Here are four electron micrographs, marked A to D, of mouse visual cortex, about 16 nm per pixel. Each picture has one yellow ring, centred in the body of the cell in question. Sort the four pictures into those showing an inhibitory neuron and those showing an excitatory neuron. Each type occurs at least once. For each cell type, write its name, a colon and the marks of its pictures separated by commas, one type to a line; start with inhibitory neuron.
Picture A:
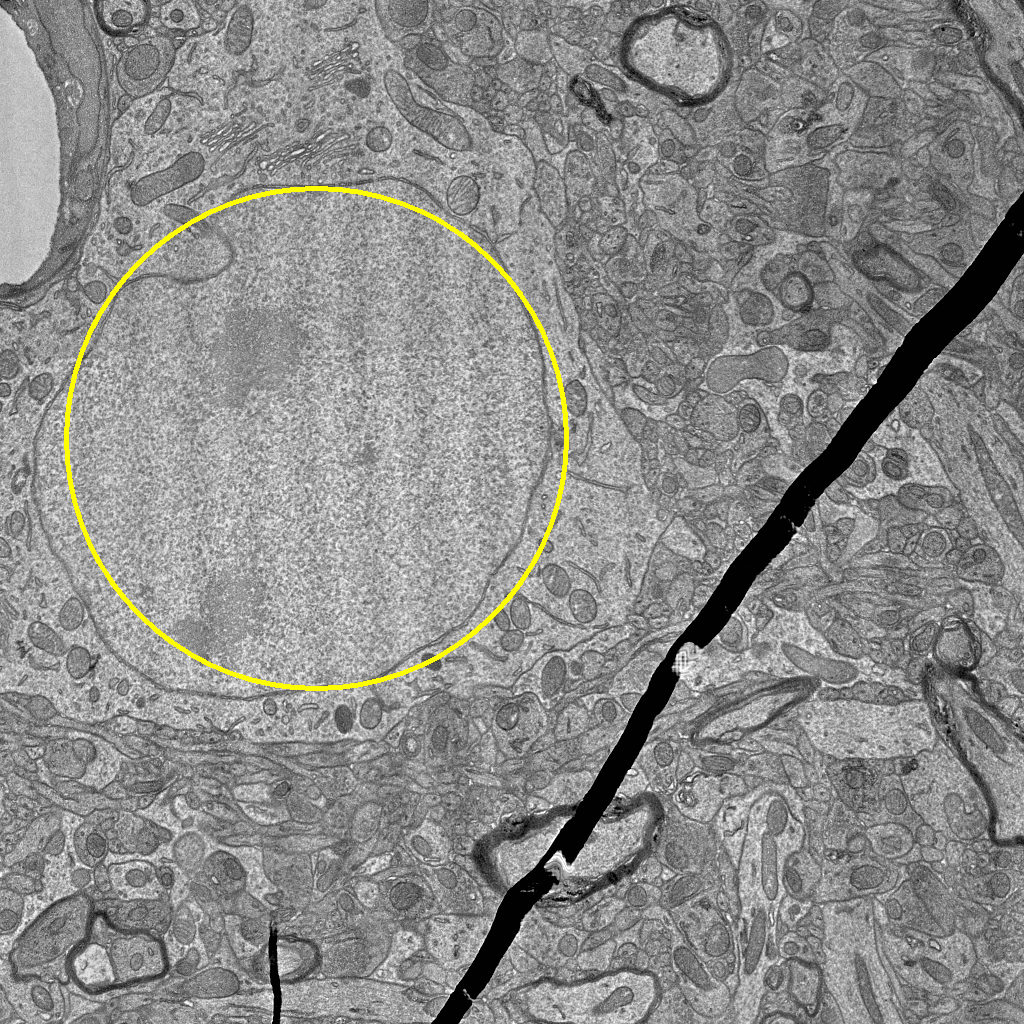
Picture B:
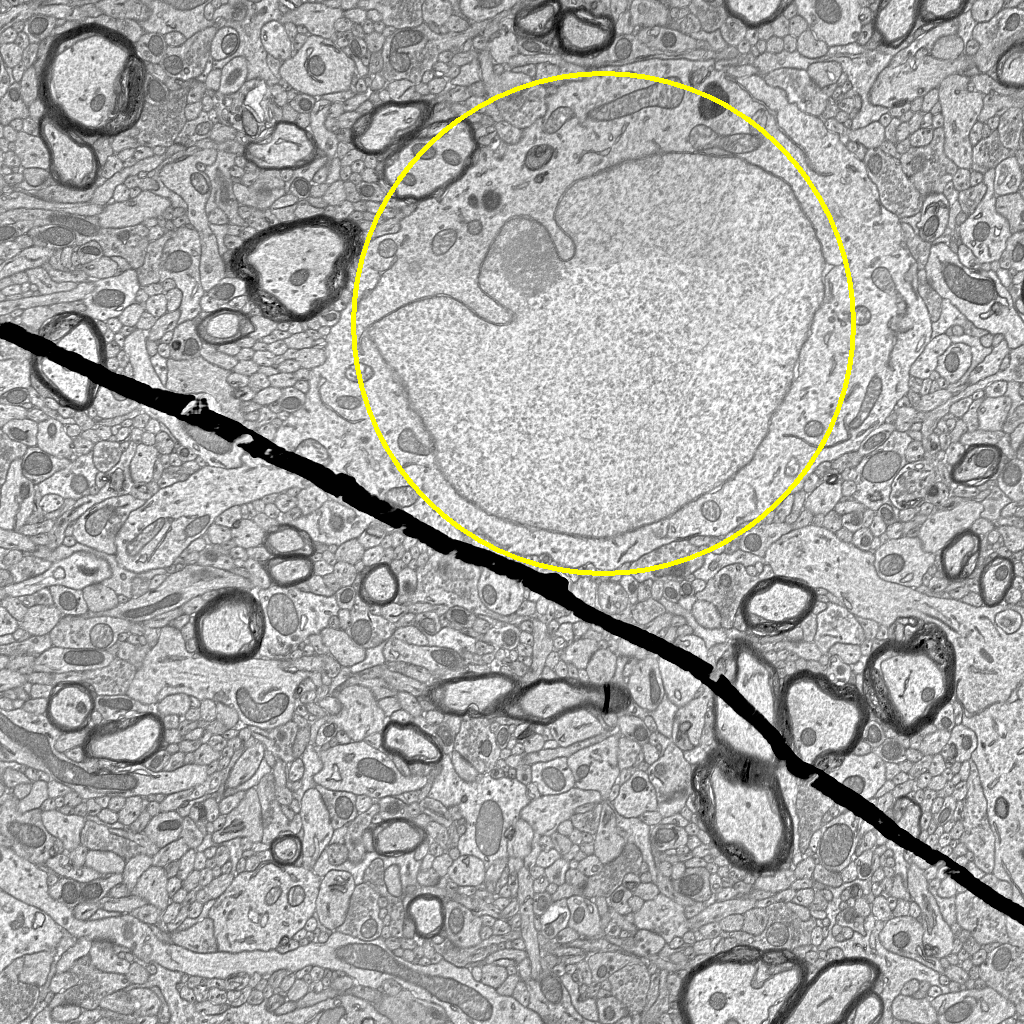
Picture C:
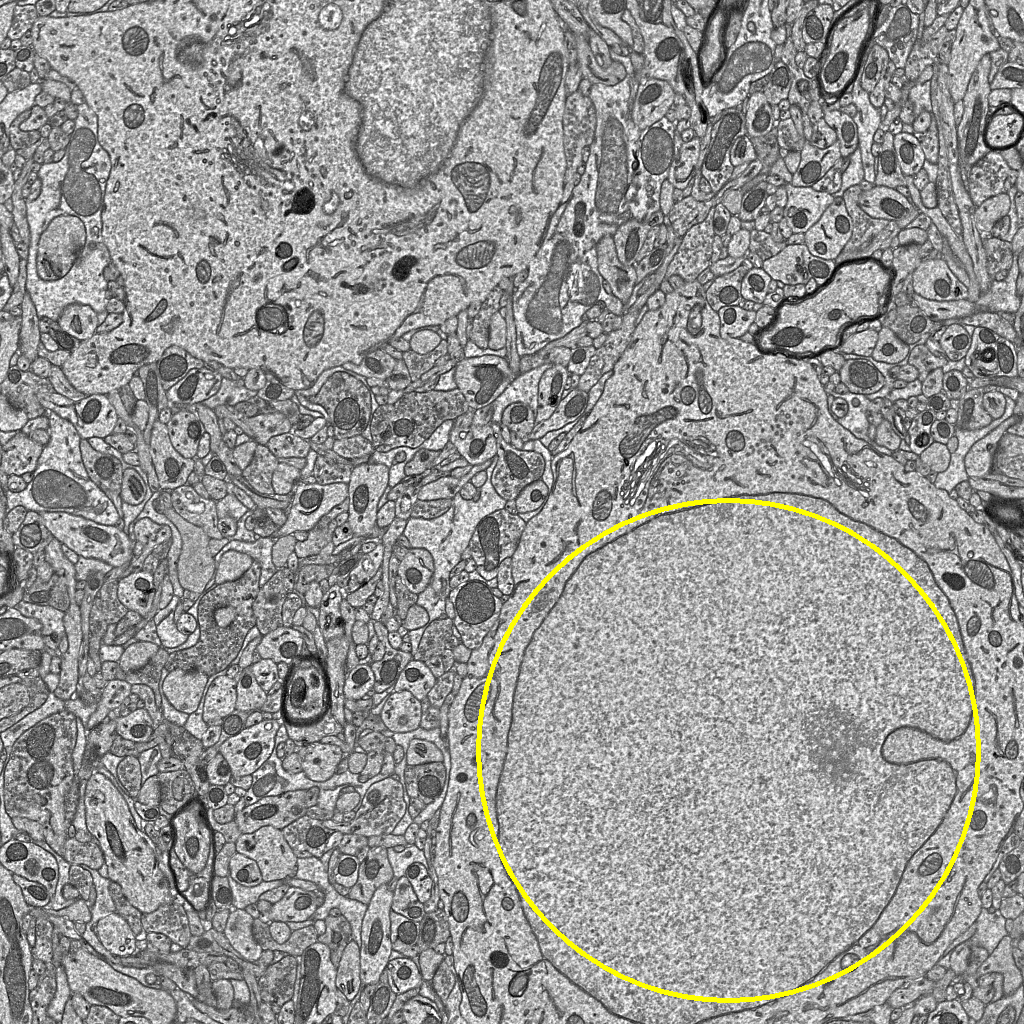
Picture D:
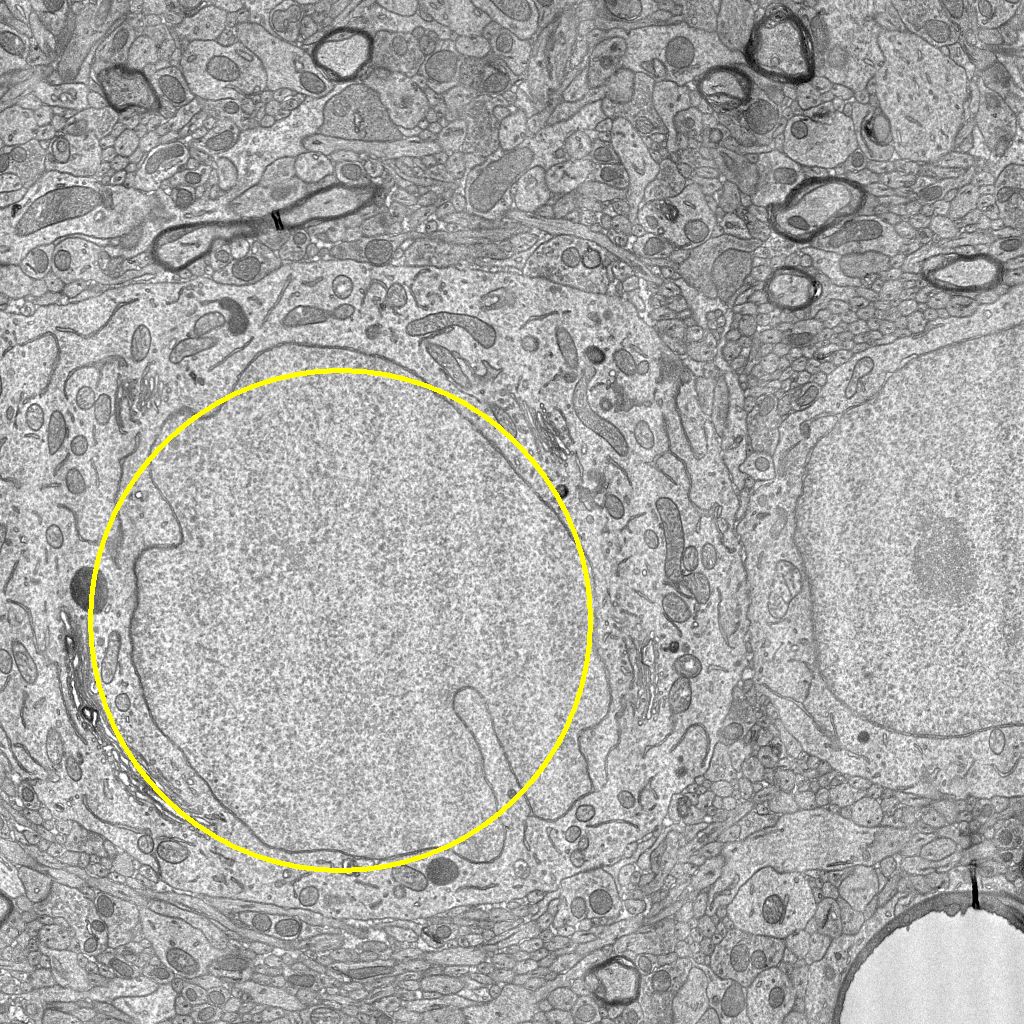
inhibitory neuron: D
excitatory neuron: A, B, C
